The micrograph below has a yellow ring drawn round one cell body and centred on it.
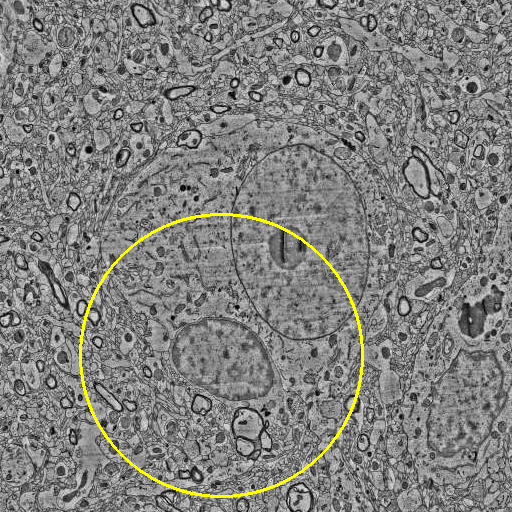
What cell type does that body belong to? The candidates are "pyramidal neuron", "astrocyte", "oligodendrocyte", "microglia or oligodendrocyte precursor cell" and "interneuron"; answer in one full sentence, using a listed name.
This is an oligodendrocyte, the cell whose body lies at the centre of the ring.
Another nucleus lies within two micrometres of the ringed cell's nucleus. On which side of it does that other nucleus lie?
The second nucleus is to the upper right of it.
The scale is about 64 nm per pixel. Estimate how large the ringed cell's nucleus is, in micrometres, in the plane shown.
The nucleus appears roughly 7 by 5 micrometres in this plane.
